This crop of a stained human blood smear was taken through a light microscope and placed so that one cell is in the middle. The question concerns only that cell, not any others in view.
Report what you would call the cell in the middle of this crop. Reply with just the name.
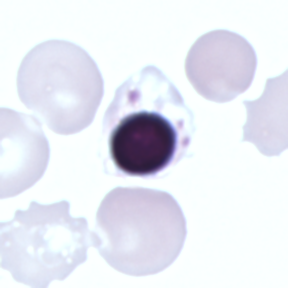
normoblast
